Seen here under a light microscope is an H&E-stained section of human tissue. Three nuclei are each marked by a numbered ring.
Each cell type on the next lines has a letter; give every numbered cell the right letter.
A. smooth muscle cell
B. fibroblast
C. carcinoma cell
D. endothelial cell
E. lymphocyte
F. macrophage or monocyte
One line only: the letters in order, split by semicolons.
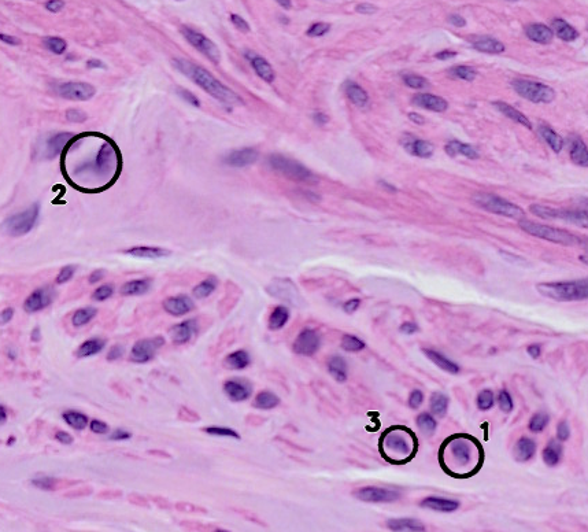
A; B; A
